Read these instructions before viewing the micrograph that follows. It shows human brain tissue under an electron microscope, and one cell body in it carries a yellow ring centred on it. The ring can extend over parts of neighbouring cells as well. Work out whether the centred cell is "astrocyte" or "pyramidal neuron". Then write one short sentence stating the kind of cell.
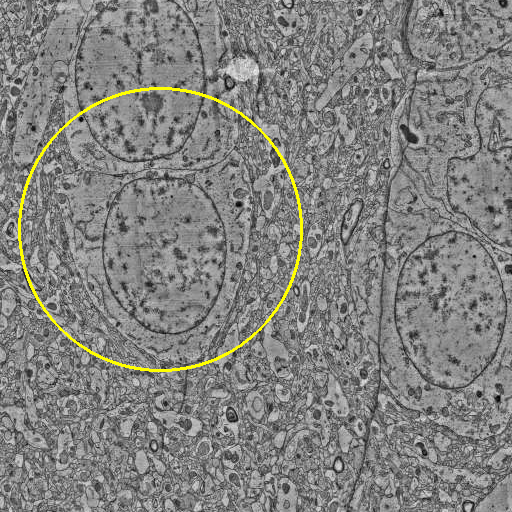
The ringed cell is a pyramidal neuron.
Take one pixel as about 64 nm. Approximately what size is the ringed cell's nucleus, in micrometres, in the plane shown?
The nucleus measures about 10 by 8 micrometres in this plane.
